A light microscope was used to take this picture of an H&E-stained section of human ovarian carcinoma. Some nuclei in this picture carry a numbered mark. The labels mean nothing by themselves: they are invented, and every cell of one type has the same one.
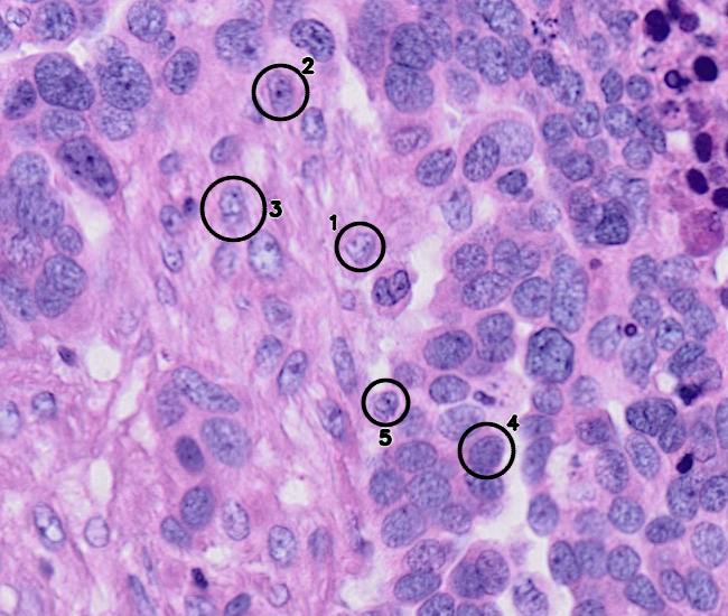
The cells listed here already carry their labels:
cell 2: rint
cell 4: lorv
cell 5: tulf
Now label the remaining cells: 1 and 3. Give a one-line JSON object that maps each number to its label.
{"1": "rint", "3": "rint"}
